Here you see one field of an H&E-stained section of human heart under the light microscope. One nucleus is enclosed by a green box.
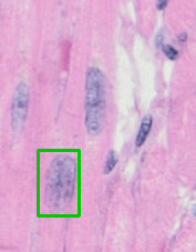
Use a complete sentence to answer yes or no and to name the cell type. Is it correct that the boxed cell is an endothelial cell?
No, the boxed cell is a cardiomyocyte rather than an endothelial cell in this section.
